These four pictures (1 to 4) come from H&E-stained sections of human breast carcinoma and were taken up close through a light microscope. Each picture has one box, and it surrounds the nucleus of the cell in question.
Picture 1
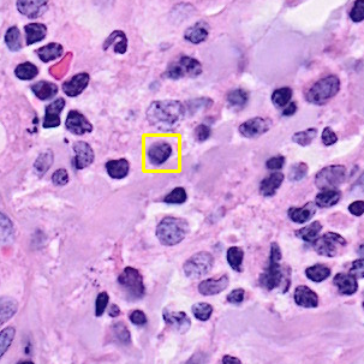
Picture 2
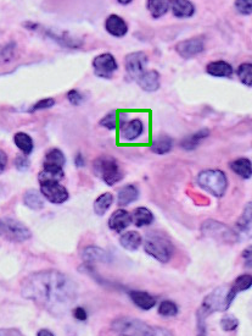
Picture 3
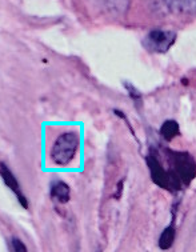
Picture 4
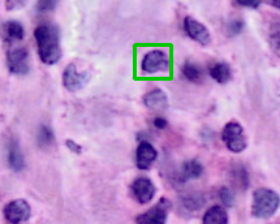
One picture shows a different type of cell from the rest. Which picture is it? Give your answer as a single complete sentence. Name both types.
Unlike the rest, which show lymphocytes, picture 3 shows a mast cell.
